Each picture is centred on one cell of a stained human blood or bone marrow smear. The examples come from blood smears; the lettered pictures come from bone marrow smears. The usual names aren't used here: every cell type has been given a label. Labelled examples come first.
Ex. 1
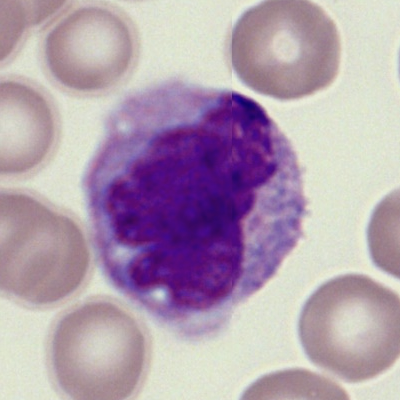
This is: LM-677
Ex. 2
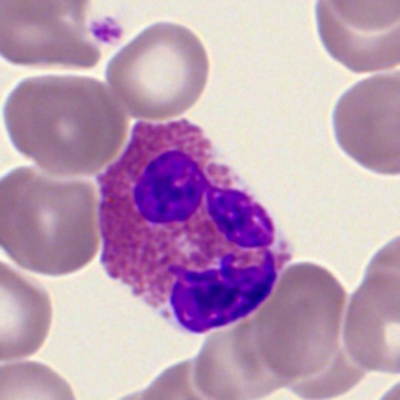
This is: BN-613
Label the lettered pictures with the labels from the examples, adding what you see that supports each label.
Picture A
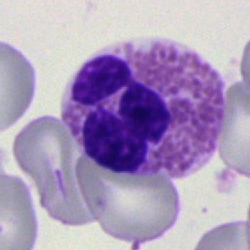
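BN-613. Reason: The cytoplasm is plentiful and pale pinkish-lilac.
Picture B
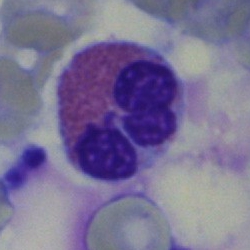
BN-613. Reason: The cytoplasm is densely filled with reddish-orange granules.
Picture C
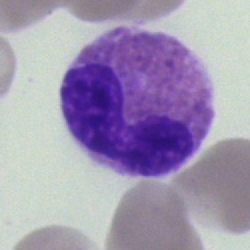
BN-613. Reason: The cytoplasm is abundant and pale lilac-pink.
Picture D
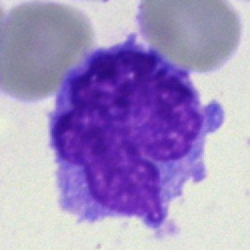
LM-677. Reason: The nucleus fills most of the cell.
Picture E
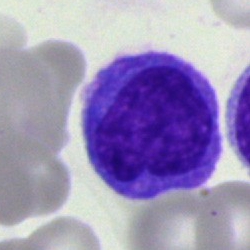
LM-677. Reason: The nucleus fills most of the cell.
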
